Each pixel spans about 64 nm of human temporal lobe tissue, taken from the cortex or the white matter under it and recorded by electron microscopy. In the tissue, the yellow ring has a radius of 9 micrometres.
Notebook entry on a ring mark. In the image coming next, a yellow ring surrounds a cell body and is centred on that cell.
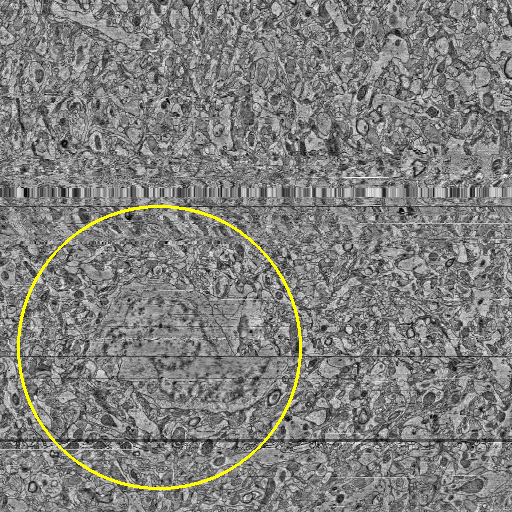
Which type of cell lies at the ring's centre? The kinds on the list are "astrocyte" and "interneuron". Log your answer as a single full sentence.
Centred in the yellow ring is an interneuron, the cell recorded for this image.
